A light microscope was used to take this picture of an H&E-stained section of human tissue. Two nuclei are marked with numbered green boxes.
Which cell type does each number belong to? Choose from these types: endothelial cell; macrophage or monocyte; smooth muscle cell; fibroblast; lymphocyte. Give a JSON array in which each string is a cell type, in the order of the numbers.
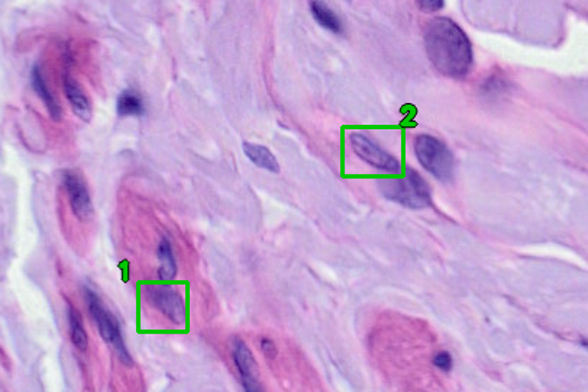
["smooth muscle cell", "endothelial cell"]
